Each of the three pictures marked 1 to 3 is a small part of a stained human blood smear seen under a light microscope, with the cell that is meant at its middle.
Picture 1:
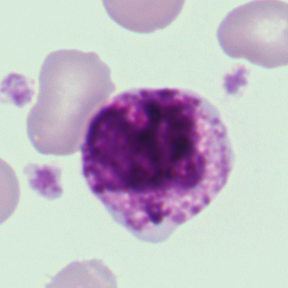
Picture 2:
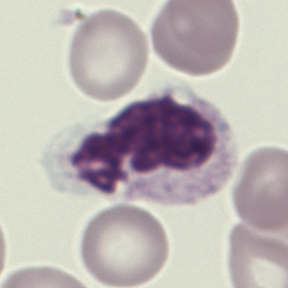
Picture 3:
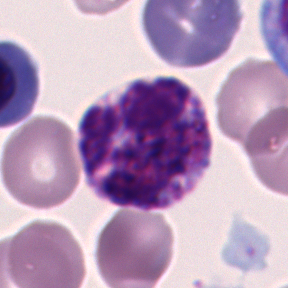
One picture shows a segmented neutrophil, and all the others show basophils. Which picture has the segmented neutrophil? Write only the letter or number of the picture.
2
